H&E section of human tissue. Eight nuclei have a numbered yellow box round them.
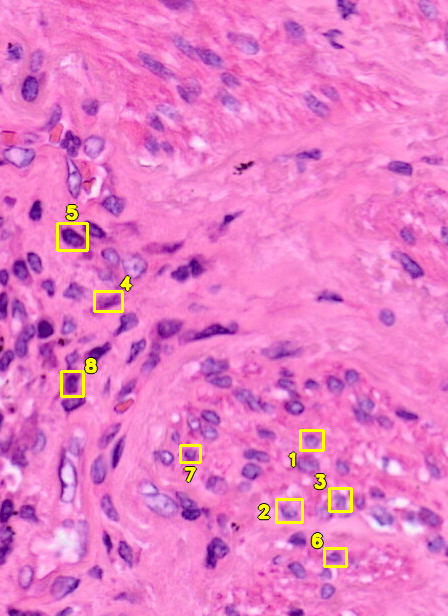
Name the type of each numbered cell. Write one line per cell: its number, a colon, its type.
1: smooth muscle cell or pericyte
2: smooth muscle cell or pericyte
3: smooth muscle cell or pericyte
4: plasma cell
5: plasma cell
6: smooth muscle cell or pericyte
7: smooth muscle cell or pericyte
8: plasma cell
